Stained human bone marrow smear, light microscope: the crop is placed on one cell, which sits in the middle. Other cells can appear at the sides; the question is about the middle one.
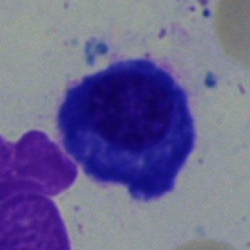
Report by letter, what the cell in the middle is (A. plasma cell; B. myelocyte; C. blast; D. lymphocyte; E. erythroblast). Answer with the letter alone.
A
